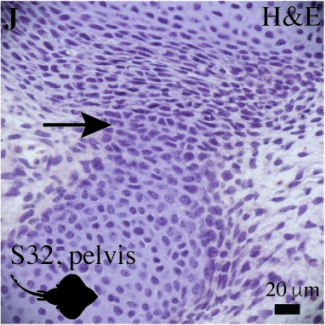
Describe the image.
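This is a developing joint region seen at high magnification, made up of densely packed cells with dark purple oval nuclei and little cytoplasm. An arrow points to a zone of closely crowded cells lying between the developing cartilage elements, the interzone. No open space separates the elements here, so the joint is not yet cavitated. Toward the edges the cells become more elongated and aligned in streams.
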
